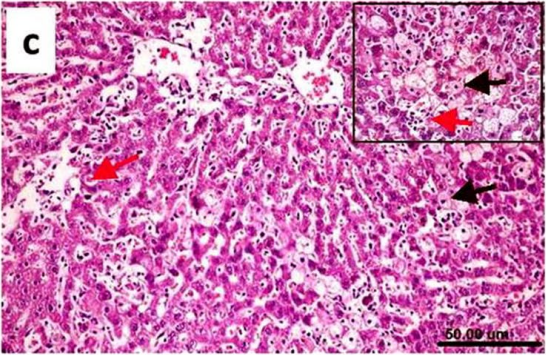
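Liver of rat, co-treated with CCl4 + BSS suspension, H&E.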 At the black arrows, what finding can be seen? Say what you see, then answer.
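Ballooning degeneration of hepatocytes. The marked hepatocytes are swollen with pale, clear cytoplasm.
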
